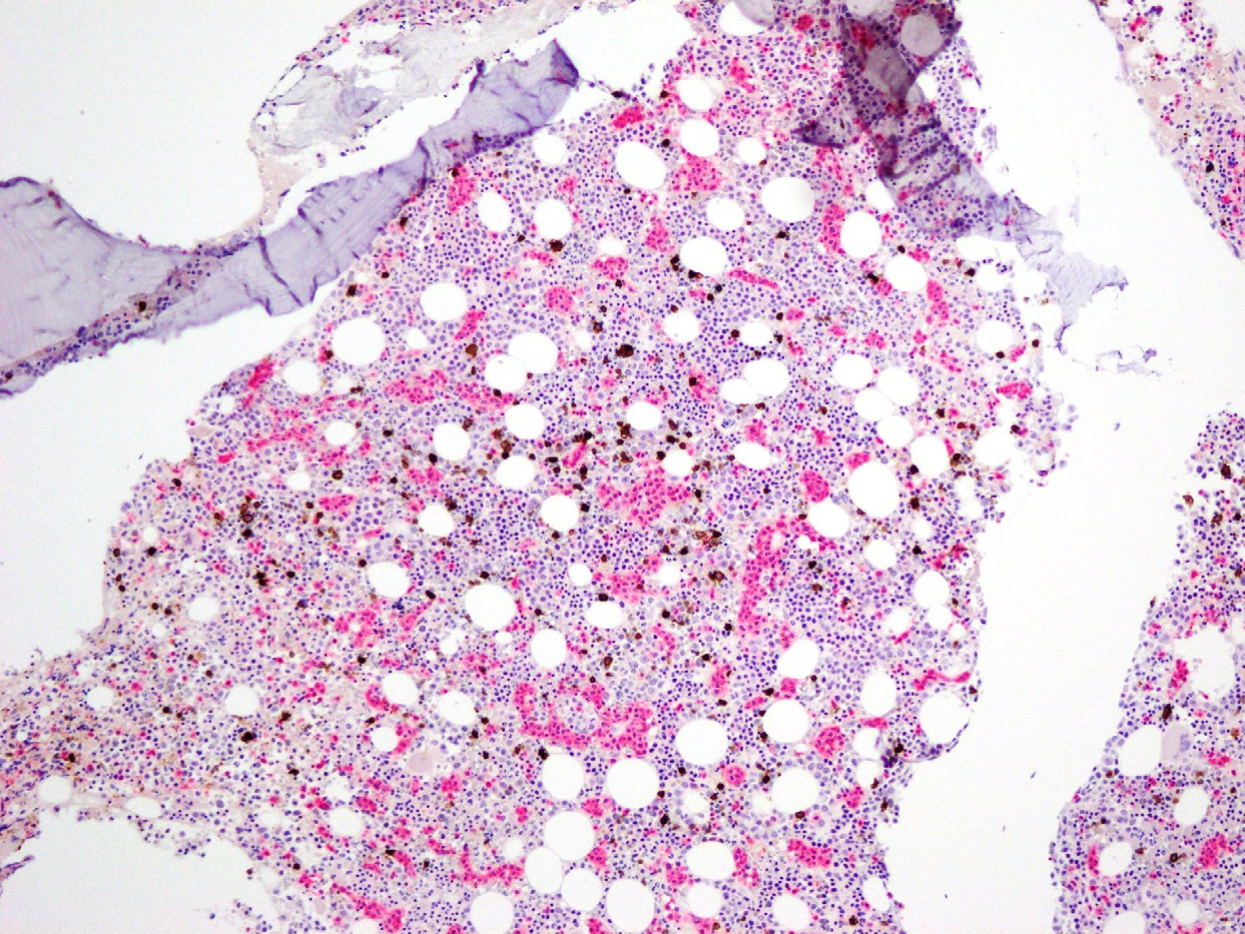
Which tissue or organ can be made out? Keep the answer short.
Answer: marrow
